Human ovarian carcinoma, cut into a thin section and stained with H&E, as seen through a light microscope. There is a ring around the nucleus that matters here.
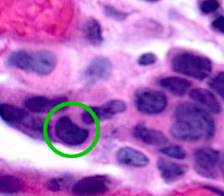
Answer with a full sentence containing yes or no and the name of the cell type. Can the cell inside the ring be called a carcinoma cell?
Yes, calling the cell inside the ring a carcinoma cell is correct.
